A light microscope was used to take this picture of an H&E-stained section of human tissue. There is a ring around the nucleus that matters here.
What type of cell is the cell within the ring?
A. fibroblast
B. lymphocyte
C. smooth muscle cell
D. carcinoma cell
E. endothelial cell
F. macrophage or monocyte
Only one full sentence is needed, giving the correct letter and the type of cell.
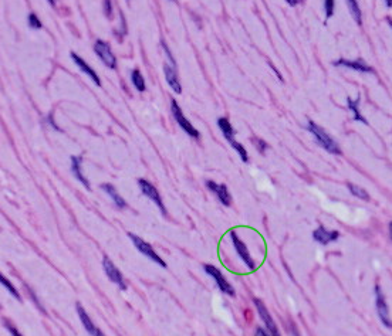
In the section, the cell within the ring is a fibroblast, and option A is correct accordingly.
